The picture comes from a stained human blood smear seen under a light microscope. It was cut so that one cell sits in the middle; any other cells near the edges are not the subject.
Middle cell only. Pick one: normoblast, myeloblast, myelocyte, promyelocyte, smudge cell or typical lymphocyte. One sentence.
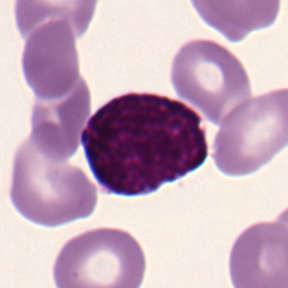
The center cell of this crop is a myeloblast.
